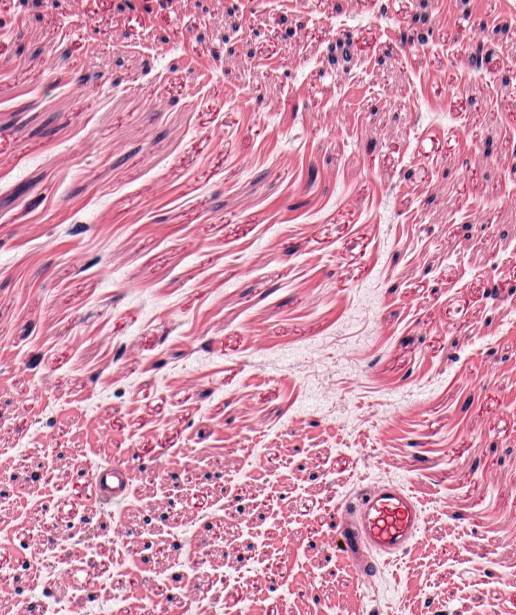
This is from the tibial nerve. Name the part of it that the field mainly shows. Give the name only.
nerve fascicle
